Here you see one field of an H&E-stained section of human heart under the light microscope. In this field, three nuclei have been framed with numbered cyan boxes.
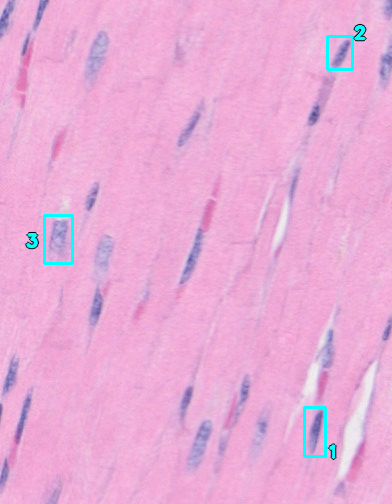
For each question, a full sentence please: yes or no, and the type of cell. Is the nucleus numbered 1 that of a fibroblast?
Yes, the cell with the number 1 is a fibroblast.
